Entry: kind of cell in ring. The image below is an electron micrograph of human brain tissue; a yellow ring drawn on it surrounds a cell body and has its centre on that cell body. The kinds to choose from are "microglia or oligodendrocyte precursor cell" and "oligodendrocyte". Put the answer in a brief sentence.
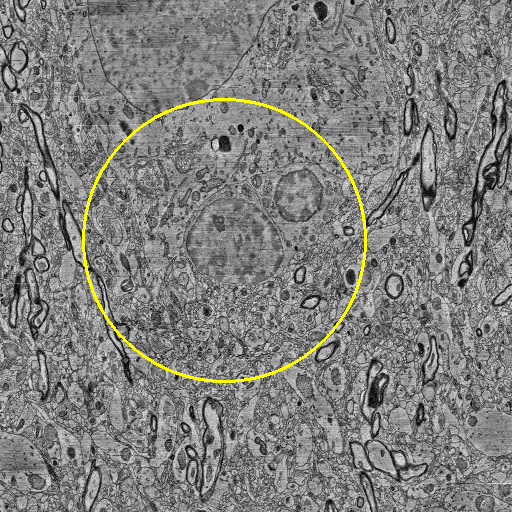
The ring has been drawn around an oligodendrocyte.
